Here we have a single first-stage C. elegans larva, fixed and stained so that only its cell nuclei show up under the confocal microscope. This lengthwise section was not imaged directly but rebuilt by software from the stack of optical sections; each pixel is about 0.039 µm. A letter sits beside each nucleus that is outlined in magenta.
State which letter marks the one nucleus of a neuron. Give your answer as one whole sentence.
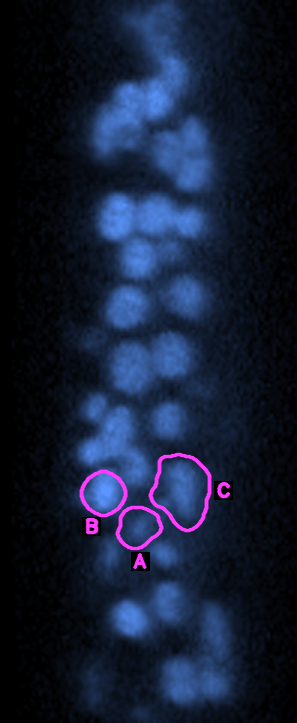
The nucleus of a neuron is B.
